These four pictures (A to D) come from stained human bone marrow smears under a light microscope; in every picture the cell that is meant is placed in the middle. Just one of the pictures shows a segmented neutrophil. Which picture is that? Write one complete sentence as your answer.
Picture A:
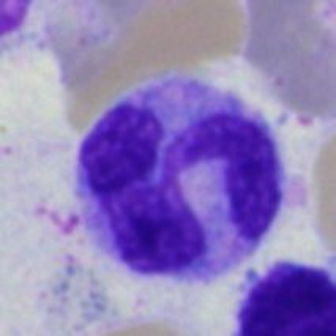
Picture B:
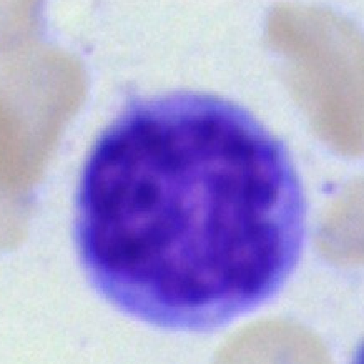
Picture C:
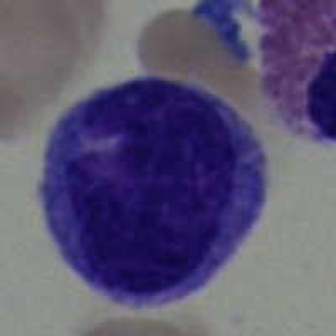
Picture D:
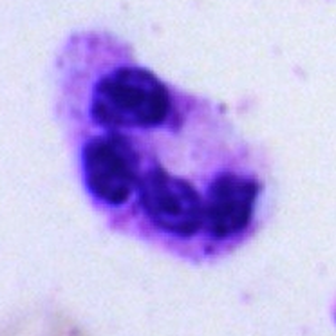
The picture with the segmented neutrophil is D.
